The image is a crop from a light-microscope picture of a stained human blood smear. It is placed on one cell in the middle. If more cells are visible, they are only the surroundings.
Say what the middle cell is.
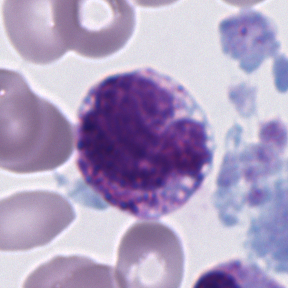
basophil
